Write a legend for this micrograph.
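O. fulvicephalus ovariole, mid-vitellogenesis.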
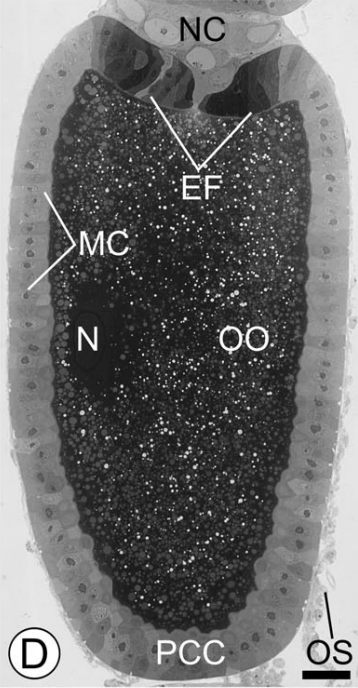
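The oocyte is now densely dark and packed with many small pale droplets, and its nucleus lies against one side rather than in the middle. A continuous layer of follicular cells surrounds it, and at the anterior pole, below the nurse cells, the follicular cells of the fold are markedly thicker and taller.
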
